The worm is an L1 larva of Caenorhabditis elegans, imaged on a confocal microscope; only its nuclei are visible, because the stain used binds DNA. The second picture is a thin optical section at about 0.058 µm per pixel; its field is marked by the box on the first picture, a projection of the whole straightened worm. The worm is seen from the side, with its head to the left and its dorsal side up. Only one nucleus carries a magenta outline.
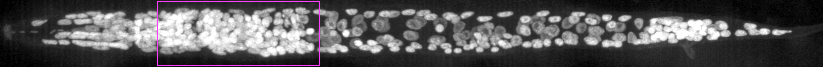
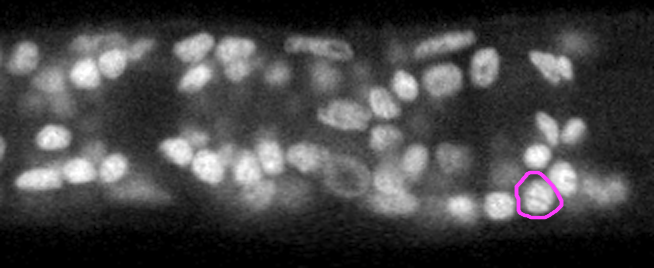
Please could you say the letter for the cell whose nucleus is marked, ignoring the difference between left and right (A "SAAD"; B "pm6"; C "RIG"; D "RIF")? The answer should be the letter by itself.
C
